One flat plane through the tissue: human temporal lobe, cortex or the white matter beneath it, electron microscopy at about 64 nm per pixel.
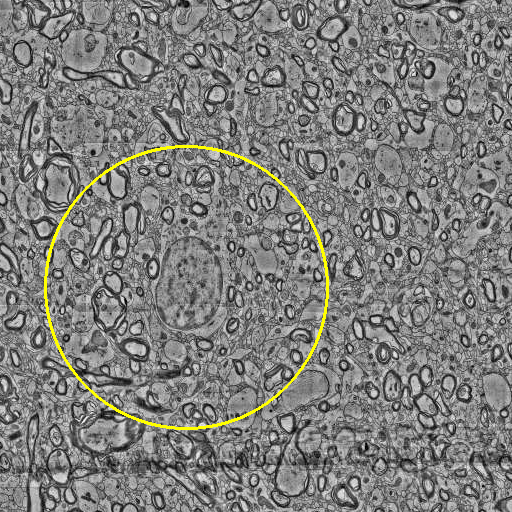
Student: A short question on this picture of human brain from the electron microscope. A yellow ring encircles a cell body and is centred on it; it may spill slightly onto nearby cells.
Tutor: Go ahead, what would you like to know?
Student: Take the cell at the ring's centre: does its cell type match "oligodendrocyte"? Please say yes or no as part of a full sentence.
No, the cell found at the ring's centre in the picture has another cell type.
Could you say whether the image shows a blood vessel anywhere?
No, the picture includes no blood vessel.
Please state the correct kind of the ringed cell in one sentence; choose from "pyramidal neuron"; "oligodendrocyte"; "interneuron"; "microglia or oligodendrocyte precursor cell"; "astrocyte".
Instead, the ring surrounds a microglial cell or oligodendrocyte precursor cell in this picture.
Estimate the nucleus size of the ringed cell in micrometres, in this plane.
The nucleus comes to roughly 6 by 4 micrometres in this plane.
